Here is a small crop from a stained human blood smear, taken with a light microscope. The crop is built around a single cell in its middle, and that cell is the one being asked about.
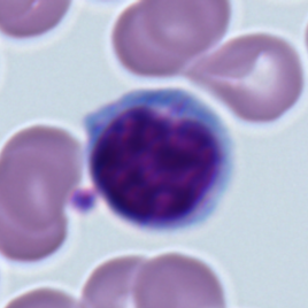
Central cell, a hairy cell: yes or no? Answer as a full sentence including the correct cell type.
No, the central cell is designated a typical lymphocyte and not a hairy cell.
